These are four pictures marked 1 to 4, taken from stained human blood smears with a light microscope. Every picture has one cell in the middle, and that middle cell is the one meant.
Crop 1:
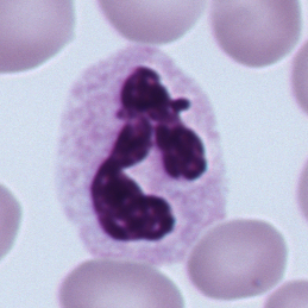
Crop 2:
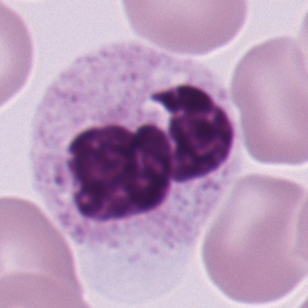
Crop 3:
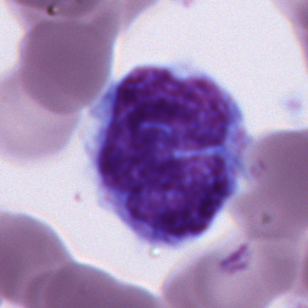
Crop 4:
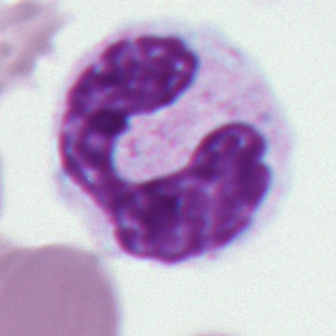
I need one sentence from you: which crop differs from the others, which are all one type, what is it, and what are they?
The exception is crop 3, with a monocyte; the remaining crops all show segmented neutrophils.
